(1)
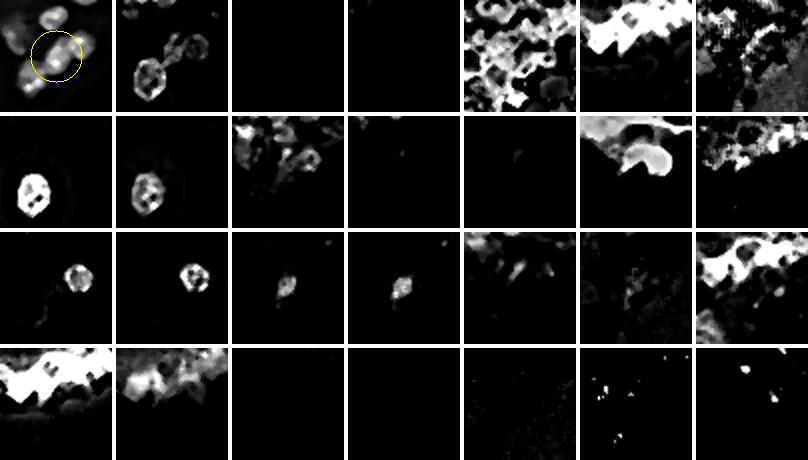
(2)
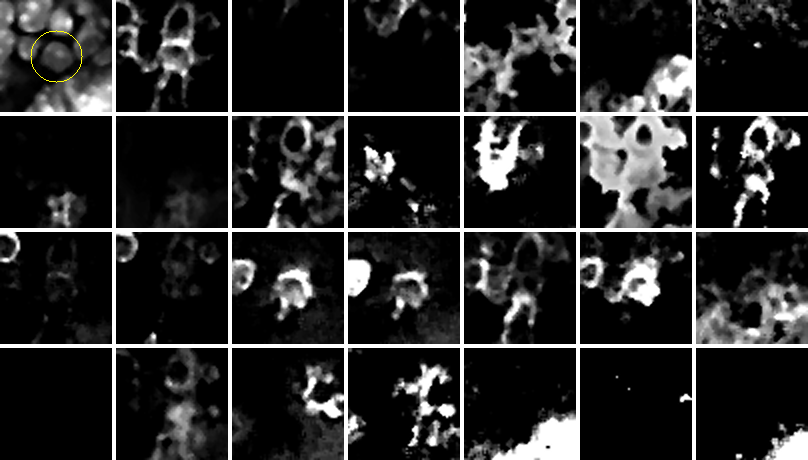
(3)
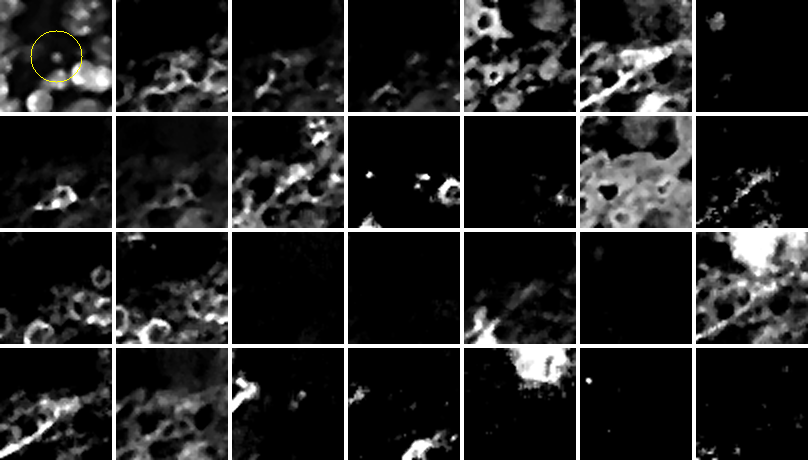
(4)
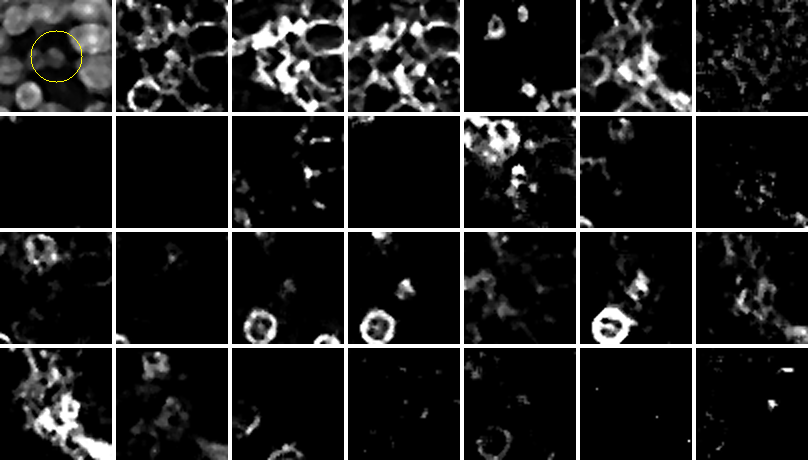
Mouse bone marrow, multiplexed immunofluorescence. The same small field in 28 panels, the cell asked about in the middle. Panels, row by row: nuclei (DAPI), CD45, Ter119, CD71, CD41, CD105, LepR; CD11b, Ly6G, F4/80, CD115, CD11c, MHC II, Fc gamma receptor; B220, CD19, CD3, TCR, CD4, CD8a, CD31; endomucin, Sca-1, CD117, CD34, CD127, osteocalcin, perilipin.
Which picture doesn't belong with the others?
Picture 2.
